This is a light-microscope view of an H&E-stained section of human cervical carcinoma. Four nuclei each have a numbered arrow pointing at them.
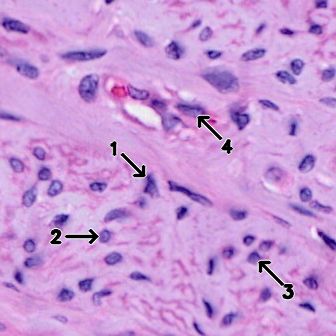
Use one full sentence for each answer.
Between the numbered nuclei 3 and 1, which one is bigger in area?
The larger nucleus is 1, at roughly 2 times the area of 3.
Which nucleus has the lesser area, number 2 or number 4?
Nucleus 2 is the smaller one; nucleus 4 covers about 2 times its area.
